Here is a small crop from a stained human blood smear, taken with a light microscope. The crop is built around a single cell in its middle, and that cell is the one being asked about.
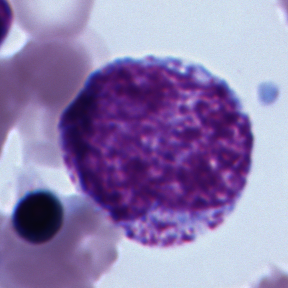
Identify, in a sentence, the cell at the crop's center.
The middle cell in this particular crop is a promyelocyte.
